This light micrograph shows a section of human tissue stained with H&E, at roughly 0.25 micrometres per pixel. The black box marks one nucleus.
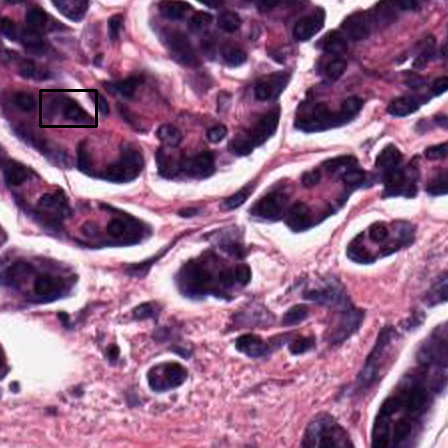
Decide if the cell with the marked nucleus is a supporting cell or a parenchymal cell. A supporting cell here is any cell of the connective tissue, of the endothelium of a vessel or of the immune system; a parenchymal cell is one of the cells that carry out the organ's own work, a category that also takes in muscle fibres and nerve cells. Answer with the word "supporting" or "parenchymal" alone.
parenchymal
